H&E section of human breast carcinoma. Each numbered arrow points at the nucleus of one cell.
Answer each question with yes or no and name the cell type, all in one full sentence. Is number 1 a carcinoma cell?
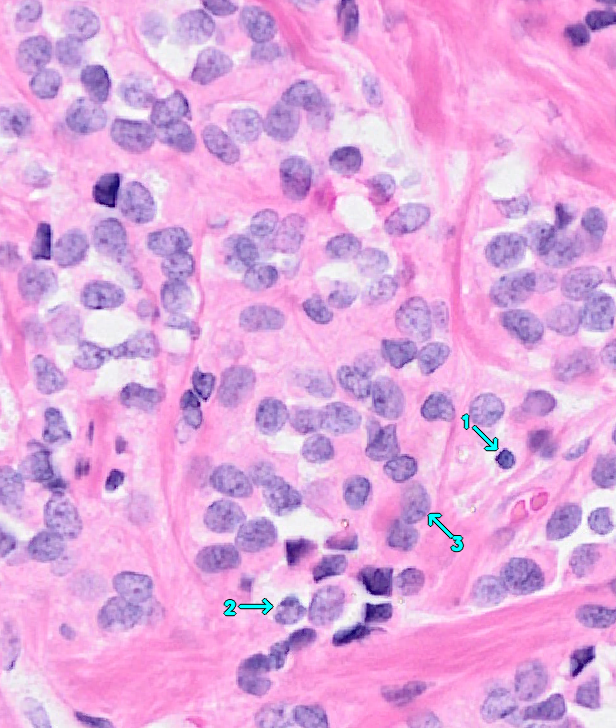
No, the cell indicated by 1 is a lymphocyte instead of a carcinoma cell.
